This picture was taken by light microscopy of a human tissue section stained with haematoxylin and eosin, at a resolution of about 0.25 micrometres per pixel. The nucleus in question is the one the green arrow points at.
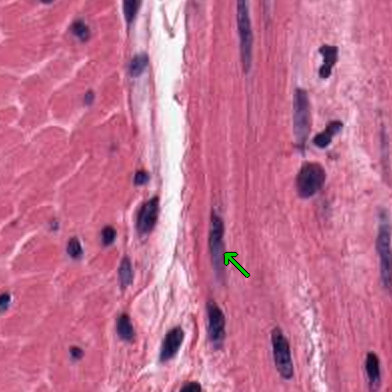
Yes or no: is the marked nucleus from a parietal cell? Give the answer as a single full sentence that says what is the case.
No, in this section the marked nucleus does not belong to a parietal cell.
